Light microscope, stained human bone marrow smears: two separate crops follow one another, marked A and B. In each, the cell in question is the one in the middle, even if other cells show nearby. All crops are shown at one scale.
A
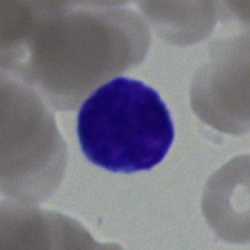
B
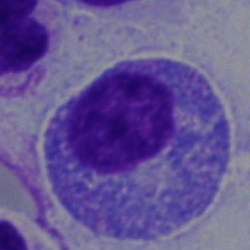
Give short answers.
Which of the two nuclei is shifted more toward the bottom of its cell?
A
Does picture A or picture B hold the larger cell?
B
